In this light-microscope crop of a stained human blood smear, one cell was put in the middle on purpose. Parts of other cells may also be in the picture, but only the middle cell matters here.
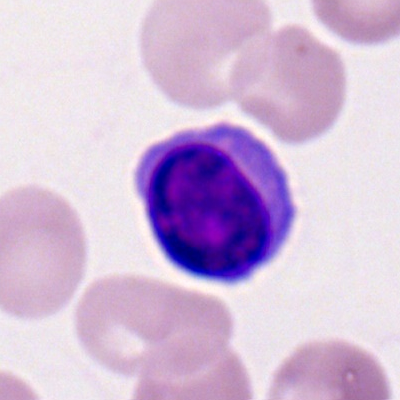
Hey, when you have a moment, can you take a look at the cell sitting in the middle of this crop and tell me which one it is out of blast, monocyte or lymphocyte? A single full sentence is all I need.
The cell in the middle of this crop is a lymphocyte.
